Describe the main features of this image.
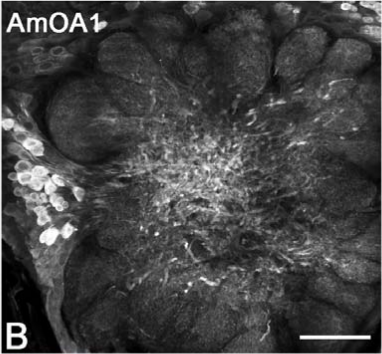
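Here we see the antennal lobe with a group of stained cell bodies at its left edge. Toward the middle, a dense meshwork of stained fibres fills the region between the round glomeruli, running in many directions. The glomeruli themselves appear as large, rounded, more faintly and evenly stained compartments arranged around this central fibrous area, each outlined by a thin darker border.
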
